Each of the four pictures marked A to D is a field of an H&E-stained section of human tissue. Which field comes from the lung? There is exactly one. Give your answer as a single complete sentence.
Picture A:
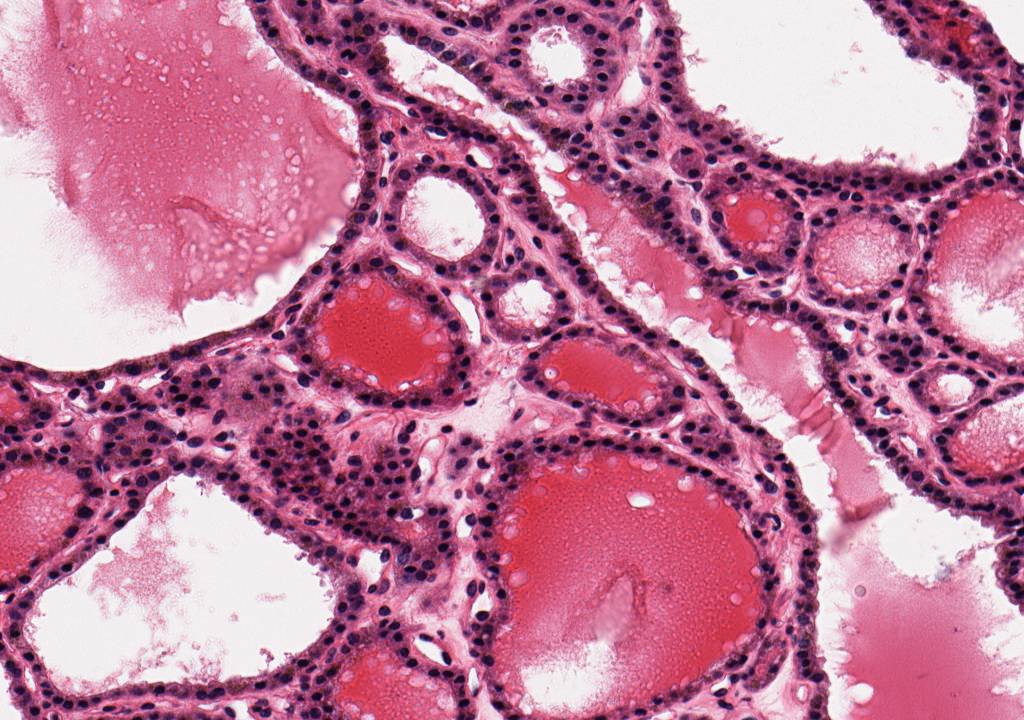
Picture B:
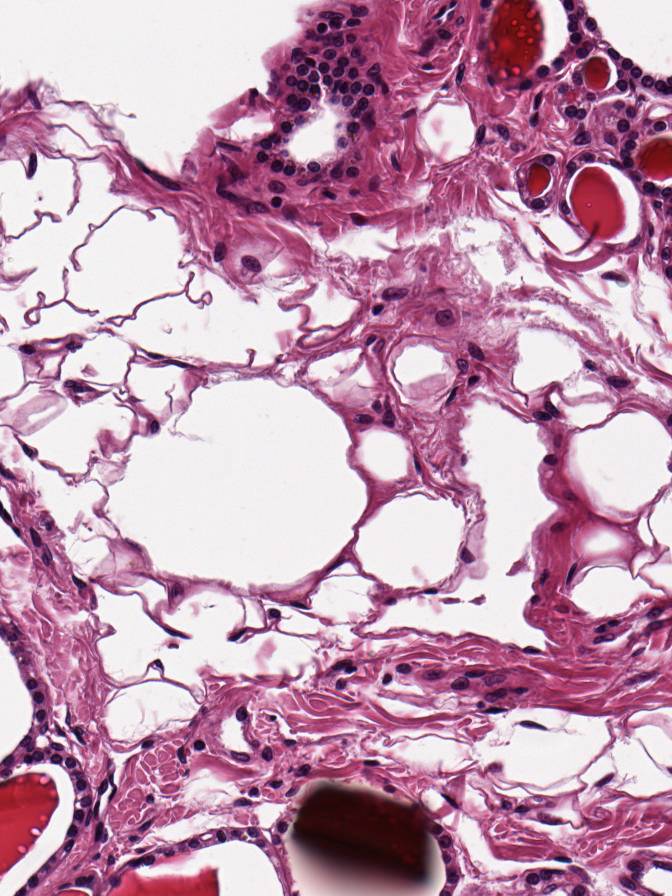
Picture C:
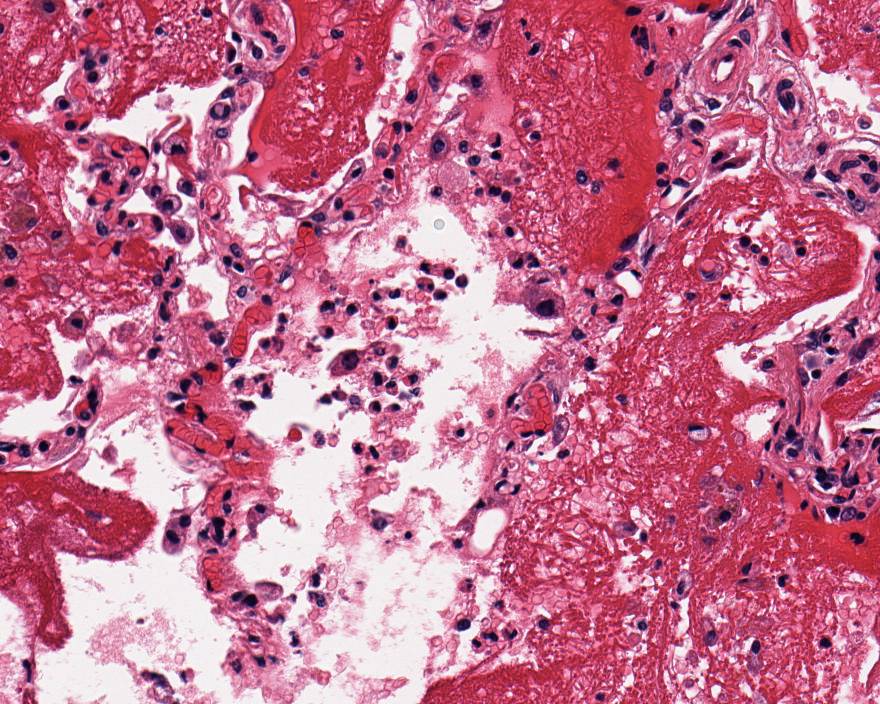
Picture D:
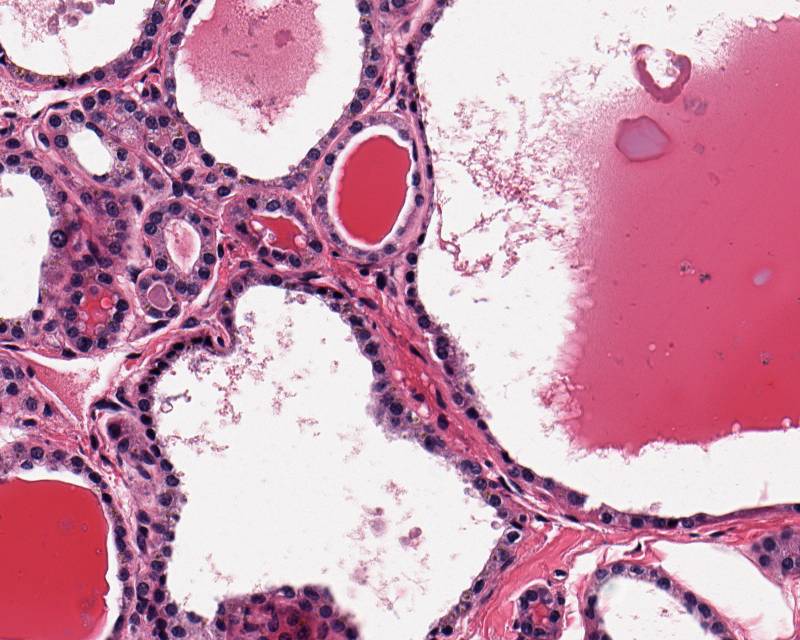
Picture C is the field that comes from the lung.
